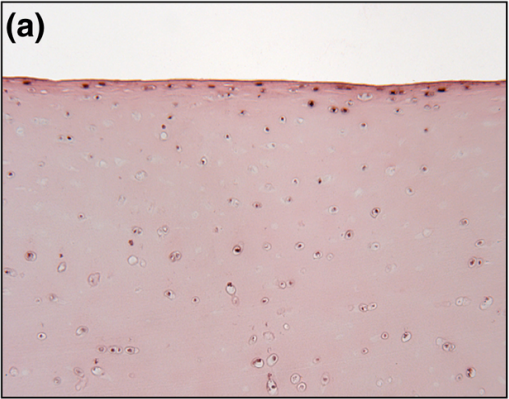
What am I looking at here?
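Articular cartilage with a smooth surface and small chondrocytes scattered singly or in pairs in lacunae throughout a pale pink matrix. Dark brown cells are few, mostly along the surface, and the rest of the cells are pale.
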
